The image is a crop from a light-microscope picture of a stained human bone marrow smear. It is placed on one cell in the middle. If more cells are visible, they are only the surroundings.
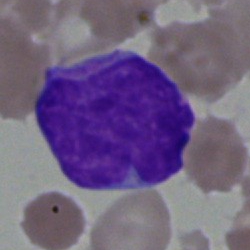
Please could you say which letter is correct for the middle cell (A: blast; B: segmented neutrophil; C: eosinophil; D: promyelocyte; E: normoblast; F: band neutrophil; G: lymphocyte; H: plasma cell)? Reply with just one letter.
A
